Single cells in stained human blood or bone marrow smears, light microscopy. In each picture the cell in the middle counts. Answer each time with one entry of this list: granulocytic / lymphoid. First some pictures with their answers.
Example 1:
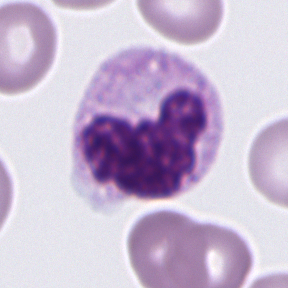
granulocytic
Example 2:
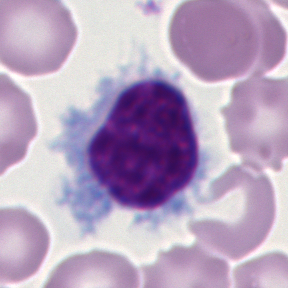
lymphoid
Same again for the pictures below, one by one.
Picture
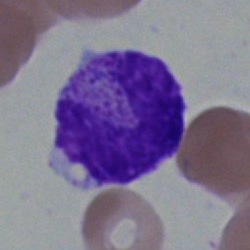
granulocytic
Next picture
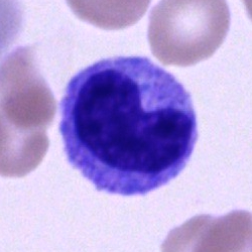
granulocytic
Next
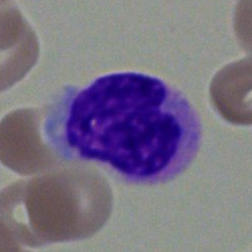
granulocytic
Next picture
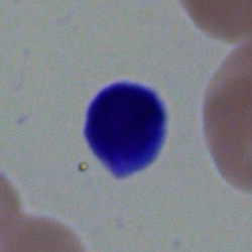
lymphoid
